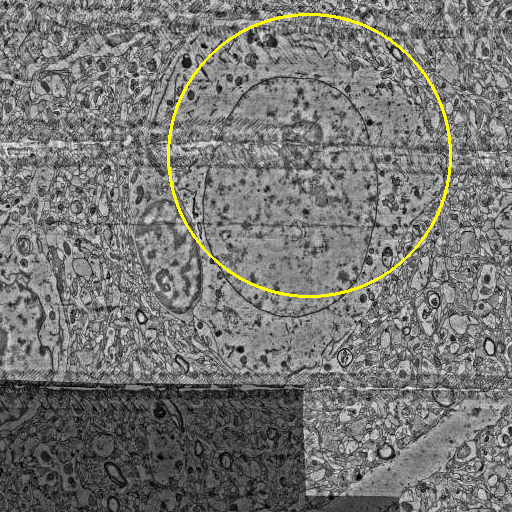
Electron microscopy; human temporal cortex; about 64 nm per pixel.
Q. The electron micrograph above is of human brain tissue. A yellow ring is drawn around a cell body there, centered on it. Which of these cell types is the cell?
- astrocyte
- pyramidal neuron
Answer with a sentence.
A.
The cell under the ring's center is a pyramidal neuron.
